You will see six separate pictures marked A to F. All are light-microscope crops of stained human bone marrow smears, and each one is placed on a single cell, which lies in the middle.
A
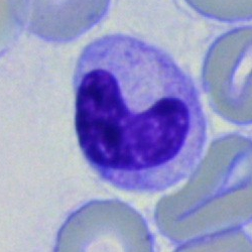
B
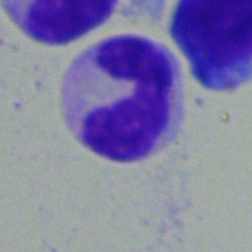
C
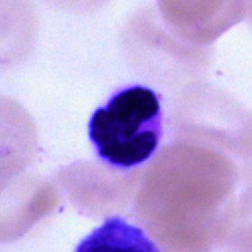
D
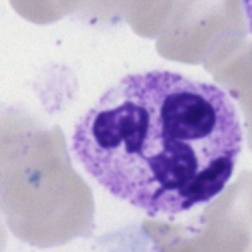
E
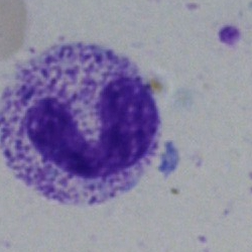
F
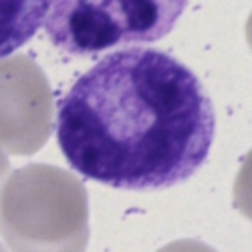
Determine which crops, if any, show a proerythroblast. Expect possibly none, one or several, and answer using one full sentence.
Findings: not one crop in the series shows a proerythroblast.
